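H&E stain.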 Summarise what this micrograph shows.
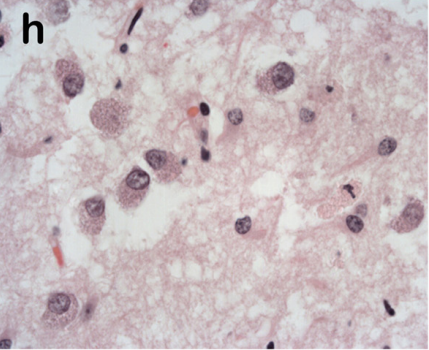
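This is brain grey matter with enlarged neurones stuffed with granular cytoplasmic material. The neurones are large, rounded cells with round nuclei, open chromatin and a distinct nucleolus. Their cytoplasm is swollen, pale pink and finely granular, giving the cell bodies a ballooned look rather than the usual angular outline. Between them the neuropil is pink and fibrillary, with many small clear spaces. Smaller, darker round nuclei of glial cells lie scattered among the neurones, and a few elongated dark nuclei and red blood cells mark small capillaries.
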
